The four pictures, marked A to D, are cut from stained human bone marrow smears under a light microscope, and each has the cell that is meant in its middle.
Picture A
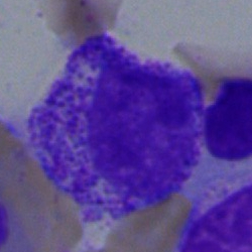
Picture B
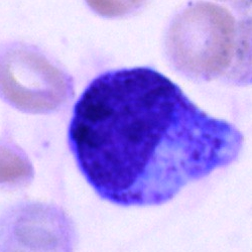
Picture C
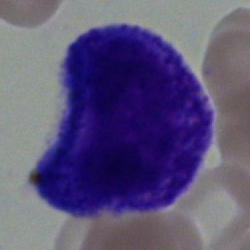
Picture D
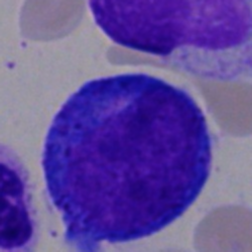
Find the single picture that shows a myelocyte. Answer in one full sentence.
The myelocyte is the one in picture A.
